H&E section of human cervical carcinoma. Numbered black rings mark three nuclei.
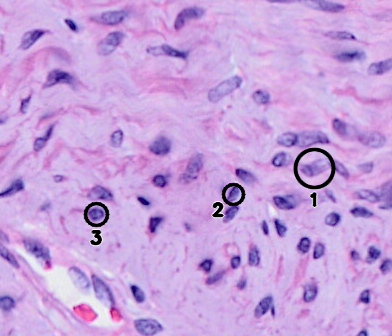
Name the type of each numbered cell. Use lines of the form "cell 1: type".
cell 1: smooth muscle cell
cell 2: fibroblast
cell 3: smooth muscle cell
